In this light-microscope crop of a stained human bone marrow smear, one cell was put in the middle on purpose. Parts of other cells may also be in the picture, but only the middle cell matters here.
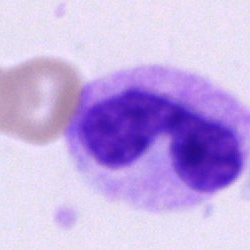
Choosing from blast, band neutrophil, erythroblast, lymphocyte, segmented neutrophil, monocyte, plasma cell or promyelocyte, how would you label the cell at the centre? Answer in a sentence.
The central cell, amid any neighbouring cells, is a band neutrophil.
